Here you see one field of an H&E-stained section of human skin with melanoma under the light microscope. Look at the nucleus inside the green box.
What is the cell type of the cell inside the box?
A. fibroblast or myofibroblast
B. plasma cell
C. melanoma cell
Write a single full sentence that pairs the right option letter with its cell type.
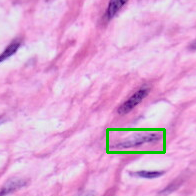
Here the cell inside the box is a fibroblast or myofibroblast; pick option A.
